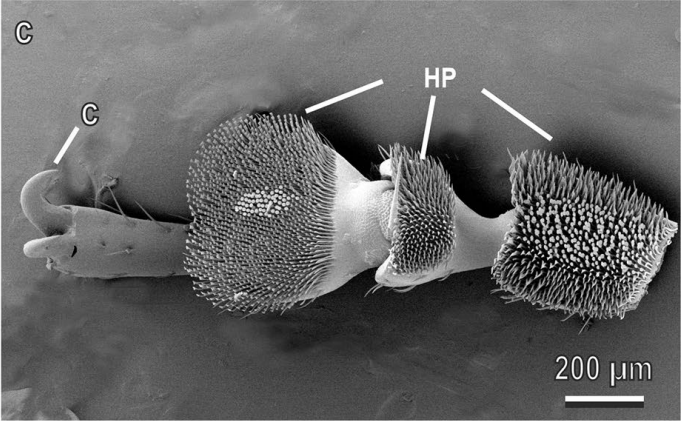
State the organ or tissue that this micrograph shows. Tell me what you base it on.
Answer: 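A segmented leg part runs across the panel. Three broad pads densely covered with hair-like setae sit along its length. A narrow segment at one end bears a pair of curved hooks. So: tarsus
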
